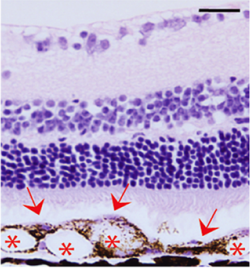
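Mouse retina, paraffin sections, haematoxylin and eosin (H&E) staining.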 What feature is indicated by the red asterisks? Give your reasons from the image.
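Round, pale, empty-looking spaces lie in the dark pigmented band at the bottom of the retina. The pigmented layer is lifted and bulges around these spaces. That points to this answer: vacuoles.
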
